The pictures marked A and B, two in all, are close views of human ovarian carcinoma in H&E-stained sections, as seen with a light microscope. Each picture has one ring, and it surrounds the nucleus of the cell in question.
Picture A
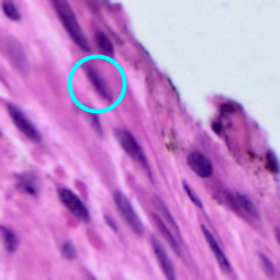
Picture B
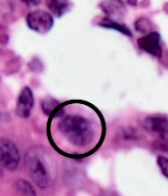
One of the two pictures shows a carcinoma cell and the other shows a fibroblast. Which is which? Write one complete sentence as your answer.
In picture A the cell is a fibroblast; in picture B, a carcinoma cell.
